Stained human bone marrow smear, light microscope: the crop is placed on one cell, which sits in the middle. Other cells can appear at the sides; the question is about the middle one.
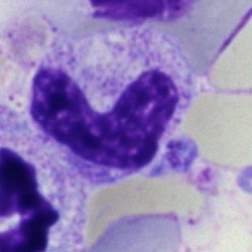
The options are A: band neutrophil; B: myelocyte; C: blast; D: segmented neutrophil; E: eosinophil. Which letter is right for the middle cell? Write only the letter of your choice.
A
